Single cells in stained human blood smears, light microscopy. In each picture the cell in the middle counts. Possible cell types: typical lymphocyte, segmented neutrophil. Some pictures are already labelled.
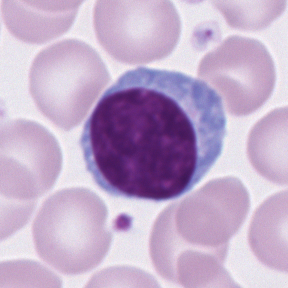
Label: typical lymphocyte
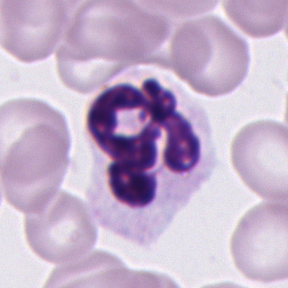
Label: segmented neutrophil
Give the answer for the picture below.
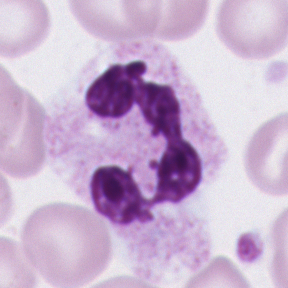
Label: segmented neutrophil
